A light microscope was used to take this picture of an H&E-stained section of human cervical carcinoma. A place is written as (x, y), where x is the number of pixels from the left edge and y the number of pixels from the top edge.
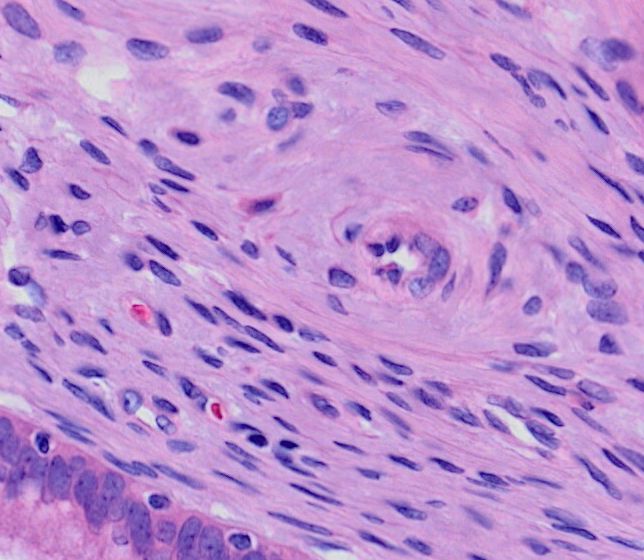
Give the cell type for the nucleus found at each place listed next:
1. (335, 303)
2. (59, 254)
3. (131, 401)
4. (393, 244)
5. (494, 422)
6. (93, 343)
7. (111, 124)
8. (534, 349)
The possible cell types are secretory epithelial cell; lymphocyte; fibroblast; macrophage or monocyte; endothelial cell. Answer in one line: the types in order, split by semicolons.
fibroblast; fibroblast; endothelial cell; endothelial cell; endothelial cell; fibroblast; fibroblast; fibroblast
